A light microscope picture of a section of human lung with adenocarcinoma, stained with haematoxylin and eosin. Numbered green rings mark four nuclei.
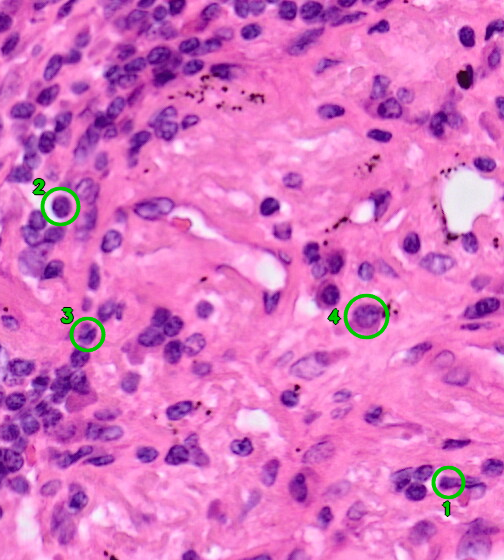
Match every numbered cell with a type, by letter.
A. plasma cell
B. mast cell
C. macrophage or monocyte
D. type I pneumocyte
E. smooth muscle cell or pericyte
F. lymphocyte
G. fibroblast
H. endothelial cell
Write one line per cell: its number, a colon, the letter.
1: F
2: F
3: F
4: A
